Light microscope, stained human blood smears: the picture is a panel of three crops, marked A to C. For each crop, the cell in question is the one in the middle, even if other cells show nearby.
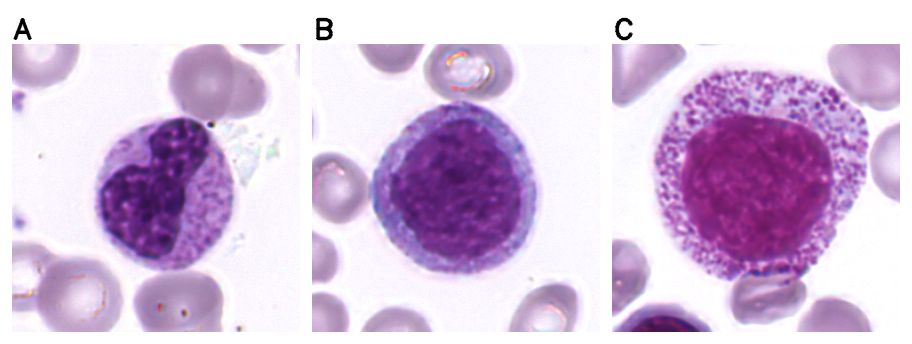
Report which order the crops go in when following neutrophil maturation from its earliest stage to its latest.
B, C, A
